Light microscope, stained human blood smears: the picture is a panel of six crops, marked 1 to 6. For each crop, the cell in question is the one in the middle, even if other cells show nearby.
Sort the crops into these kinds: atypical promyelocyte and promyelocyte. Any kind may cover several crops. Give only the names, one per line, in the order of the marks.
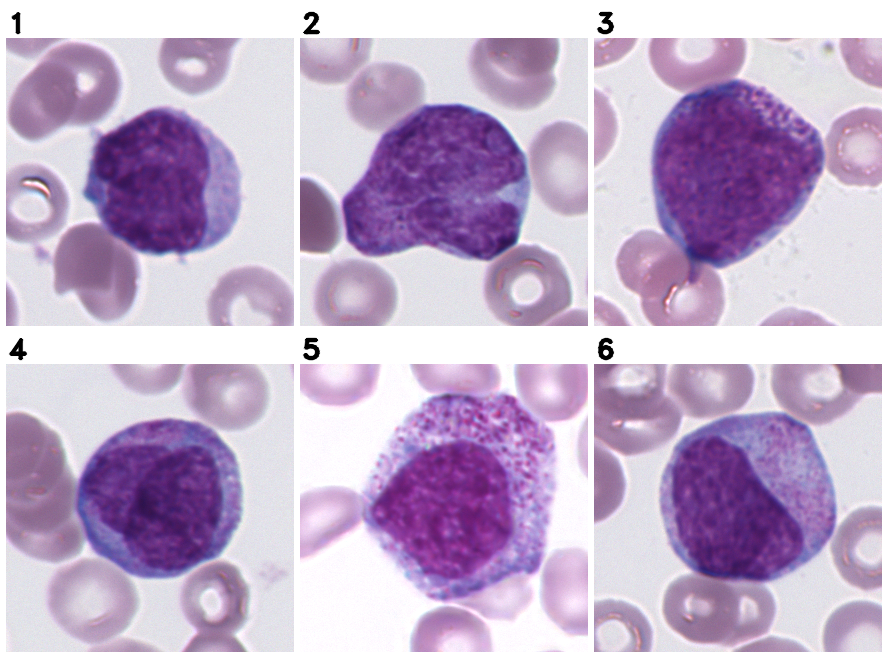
atypical promyelocyte
atypical promyelocyte
promyelocyte
atypical promyelocyte
promyelocyte
atypical promyelocyte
